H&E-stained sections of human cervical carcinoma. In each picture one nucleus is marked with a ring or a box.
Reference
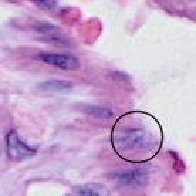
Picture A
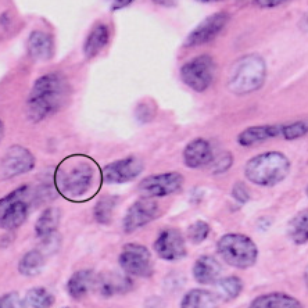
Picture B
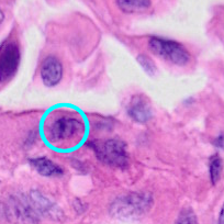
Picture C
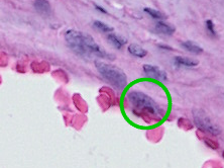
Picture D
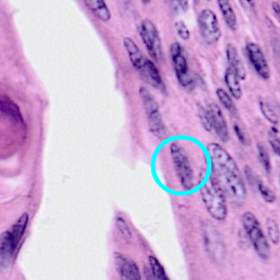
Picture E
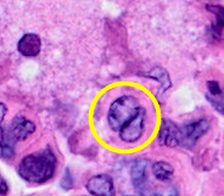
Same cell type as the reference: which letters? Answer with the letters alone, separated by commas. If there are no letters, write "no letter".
C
